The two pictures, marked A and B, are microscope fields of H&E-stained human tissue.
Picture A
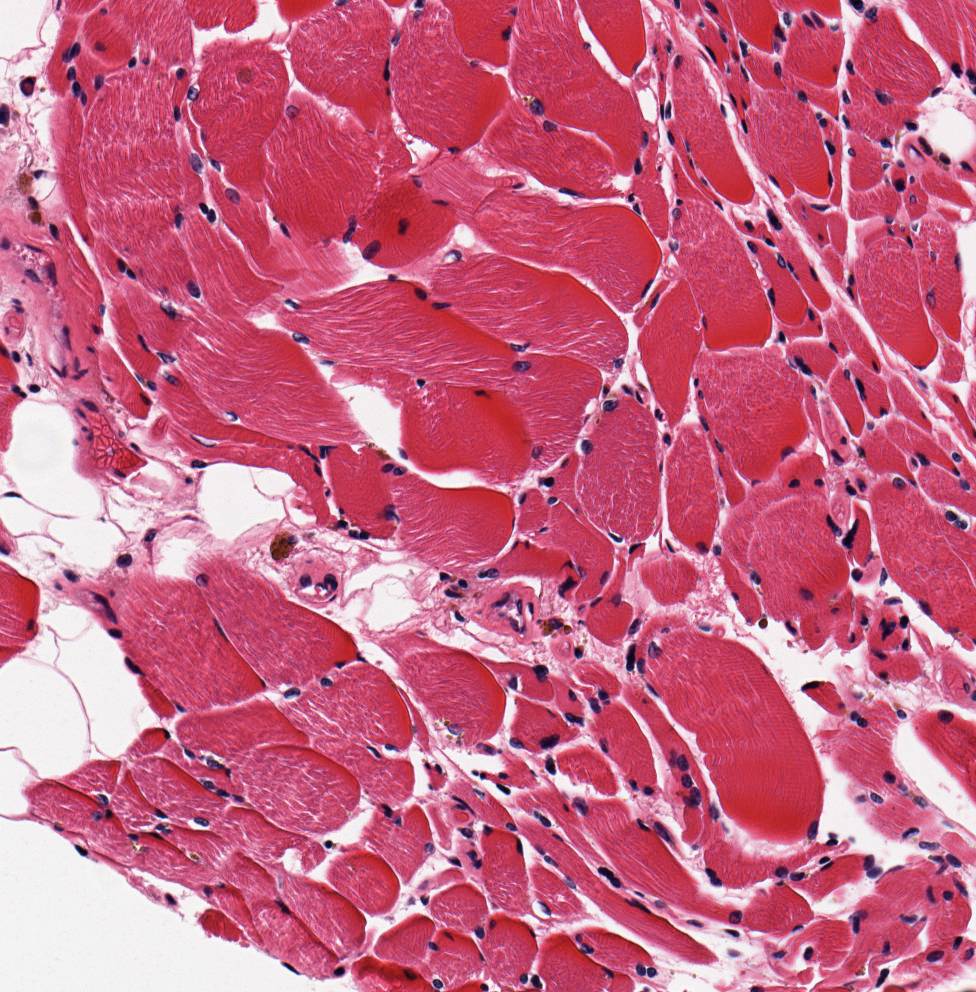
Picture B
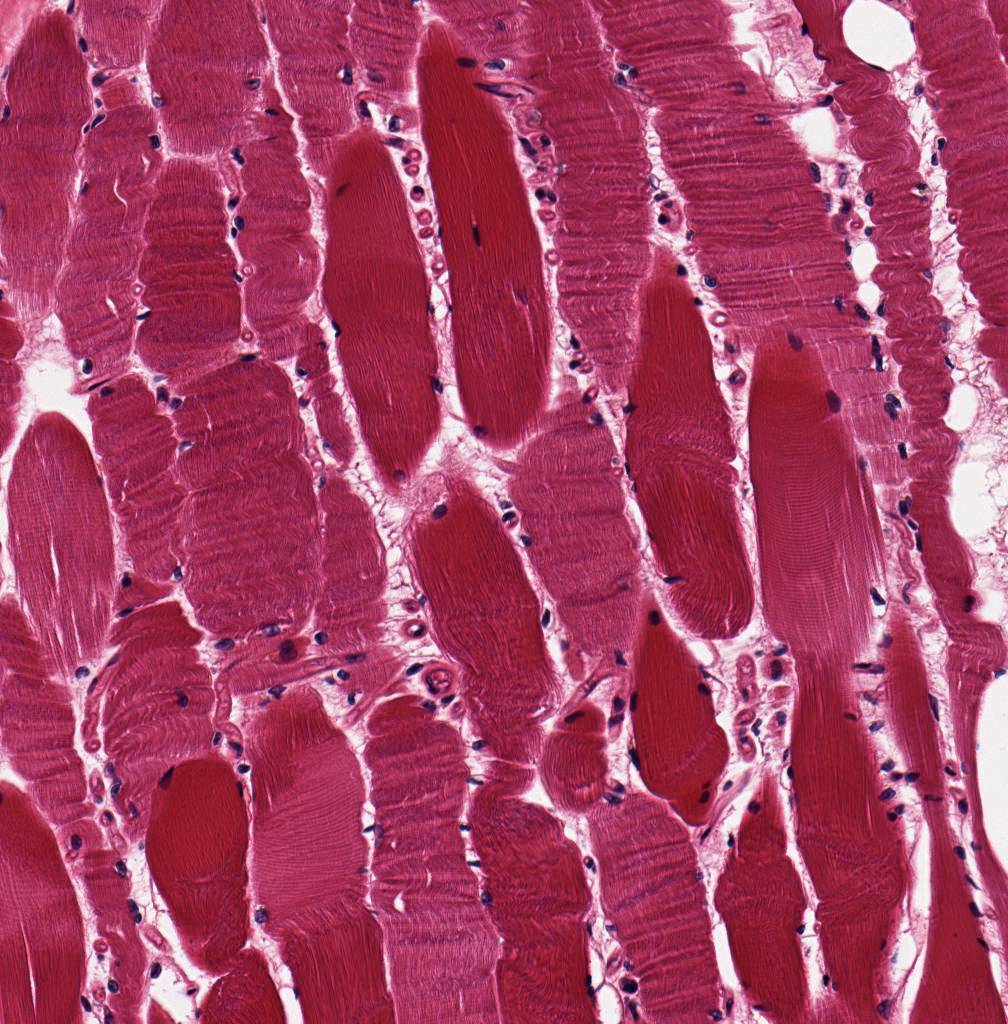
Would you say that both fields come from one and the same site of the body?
yes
